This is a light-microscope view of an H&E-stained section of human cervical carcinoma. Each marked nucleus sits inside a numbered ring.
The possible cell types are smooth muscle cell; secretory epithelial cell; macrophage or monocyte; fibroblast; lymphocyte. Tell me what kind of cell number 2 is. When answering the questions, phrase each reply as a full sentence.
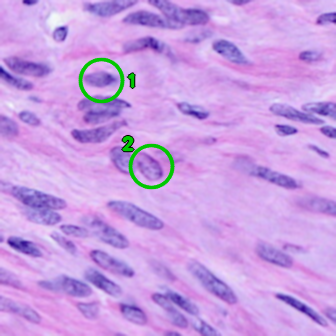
The cell whose nucleus carries the number 2 is a smooth muscle cell.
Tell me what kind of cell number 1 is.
The cell that bears the number 1 is a fibroblast.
